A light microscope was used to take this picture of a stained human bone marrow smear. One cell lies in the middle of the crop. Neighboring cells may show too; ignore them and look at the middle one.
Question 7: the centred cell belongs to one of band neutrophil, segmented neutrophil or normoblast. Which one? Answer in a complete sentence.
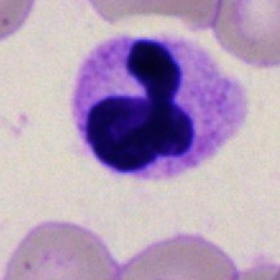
In the middle of this smear crop is a segmented neutrophil.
